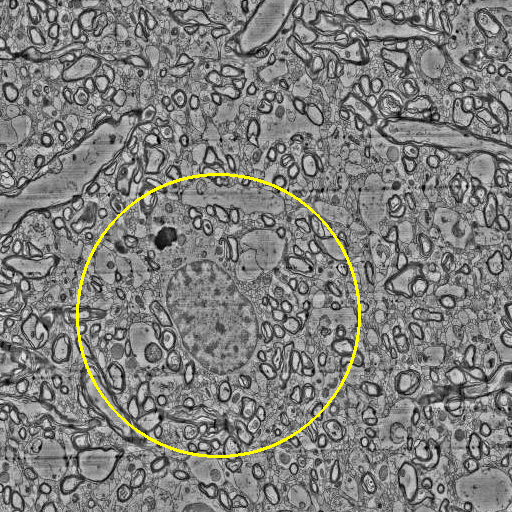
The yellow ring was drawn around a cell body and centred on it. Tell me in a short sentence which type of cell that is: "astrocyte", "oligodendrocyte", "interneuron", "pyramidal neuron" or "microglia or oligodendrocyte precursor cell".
The cell at the ring's centre is an oligodendrocyte.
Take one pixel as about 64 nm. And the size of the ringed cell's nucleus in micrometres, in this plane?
About 7 micrometres by about 5 micrometres in this plane.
